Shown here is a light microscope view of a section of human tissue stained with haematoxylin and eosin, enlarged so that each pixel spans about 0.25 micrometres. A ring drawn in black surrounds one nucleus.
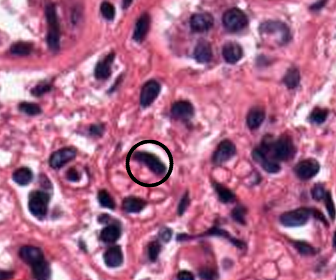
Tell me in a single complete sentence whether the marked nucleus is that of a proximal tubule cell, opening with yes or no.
No, the marked nucleus resides in a supporting cell, not in a proximal tubule cell.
